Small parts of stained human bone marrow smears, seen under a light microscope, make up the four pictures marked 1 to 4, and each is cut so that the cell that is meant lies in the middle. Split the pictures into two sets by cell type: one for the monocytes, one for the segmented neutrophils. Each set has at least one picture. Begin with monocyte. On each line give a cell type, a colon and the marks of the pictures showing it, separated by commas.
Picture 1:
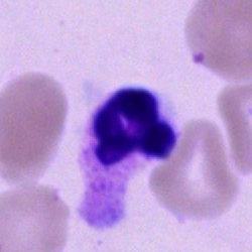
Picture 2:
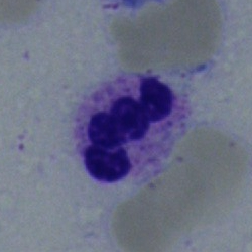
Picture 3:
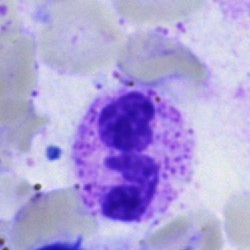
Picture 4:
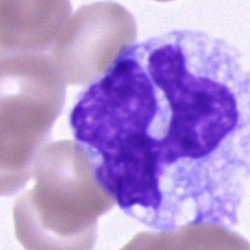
monocyte: 4
segmented neutrophil: 1, 2, 3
